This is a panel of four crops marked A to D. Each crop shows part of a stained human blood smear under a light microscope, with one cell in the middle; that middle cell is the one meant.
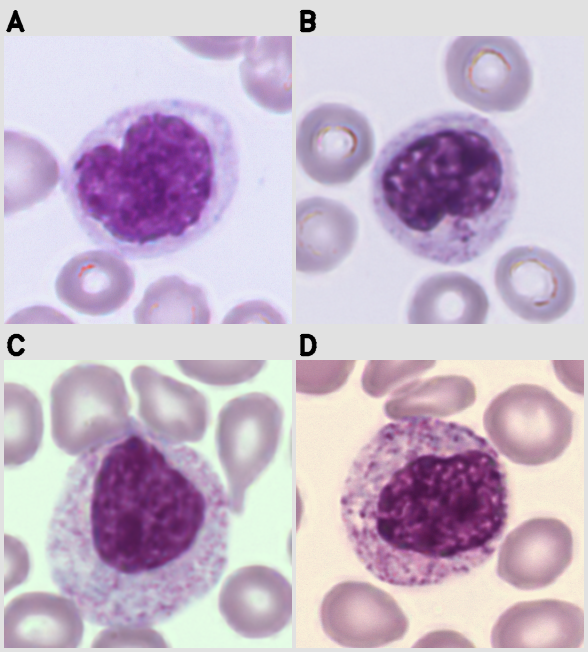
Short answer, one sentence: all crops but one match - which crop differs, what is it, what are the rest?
Crop C differs, its cell being a myelocyte, whereas the other crops show metamyelocytes.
